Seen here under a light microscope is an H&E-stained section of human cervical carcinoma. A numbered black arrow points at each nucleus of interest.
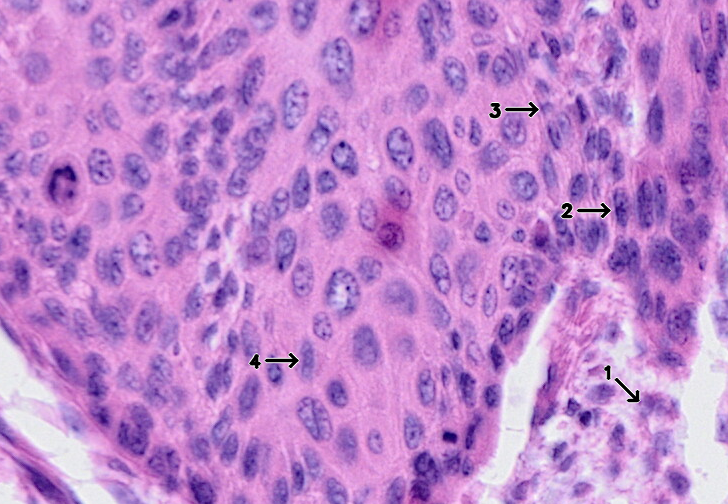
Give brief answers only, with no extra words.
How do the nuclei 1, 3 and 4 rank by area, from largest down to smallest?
4, 1, 3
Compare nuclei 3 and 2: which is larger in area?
2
